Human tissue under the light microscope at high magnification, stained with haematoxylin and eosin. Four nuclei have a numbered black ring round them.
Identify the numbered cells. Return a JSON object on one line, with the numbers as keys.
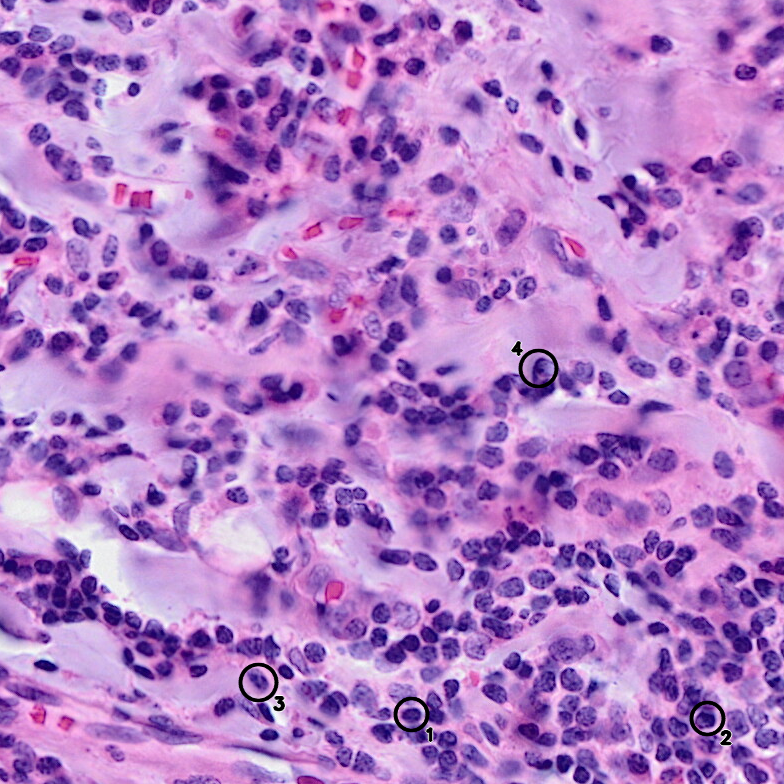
{"1": "lymphocyte", "2": "lymphocyte", "3": "mast cell", "4": "lymphocyte"}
